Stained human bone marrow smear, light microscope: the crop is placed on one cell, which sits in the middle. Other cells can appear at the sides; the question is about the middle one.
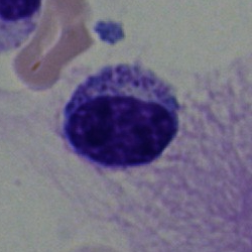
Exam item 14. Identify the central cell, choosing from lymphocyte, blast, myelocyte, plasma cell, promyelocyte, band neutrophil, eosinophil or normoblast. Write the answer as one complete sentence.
The central element of this crop is a cell, namely a myelocyte.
